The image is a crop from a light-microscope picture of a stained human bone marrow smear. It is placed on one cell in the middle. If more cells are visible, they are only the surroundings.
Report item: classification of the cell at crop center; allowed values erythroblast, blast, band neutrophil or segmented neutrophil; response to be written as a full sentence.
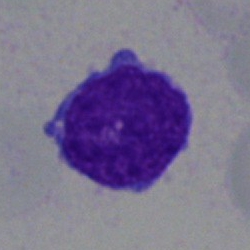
What sits at the centre of this crop is a blast.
